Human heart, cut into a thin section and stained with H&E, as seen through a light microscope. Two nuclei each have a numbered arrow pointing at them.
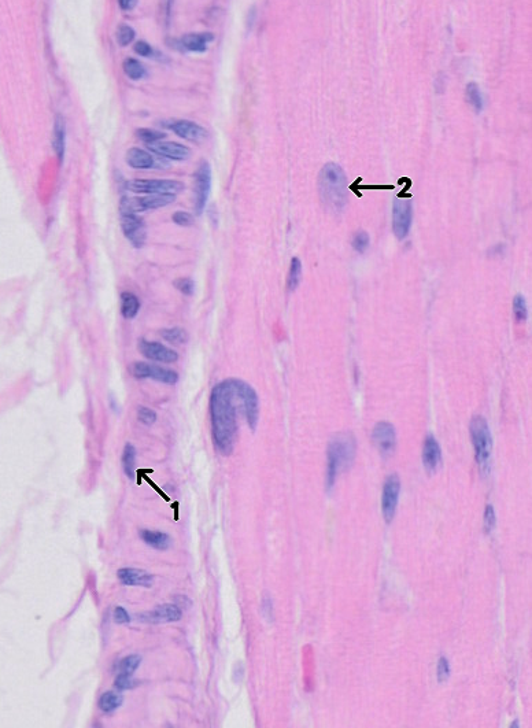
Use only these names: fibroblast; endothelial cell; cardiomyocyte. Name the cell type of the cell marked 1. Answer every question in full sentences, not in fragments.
It is as a fibroblast that the cell numbered 1 is identified.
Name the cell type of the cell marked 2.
The cell bearing label 2 corresponds to a cardiomyocyte.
